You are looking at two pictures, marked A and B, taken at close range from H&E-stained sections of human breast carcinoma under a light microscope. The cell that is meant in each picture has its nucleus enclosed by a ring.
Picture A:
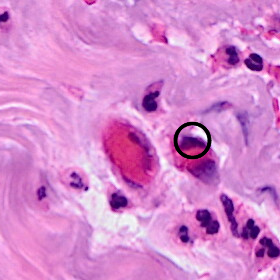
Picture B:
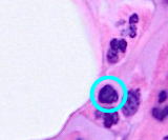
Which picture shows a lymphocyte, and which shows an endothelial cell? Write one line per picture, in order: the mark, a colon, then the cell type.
A: endothelial cell
B: lymphocyte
